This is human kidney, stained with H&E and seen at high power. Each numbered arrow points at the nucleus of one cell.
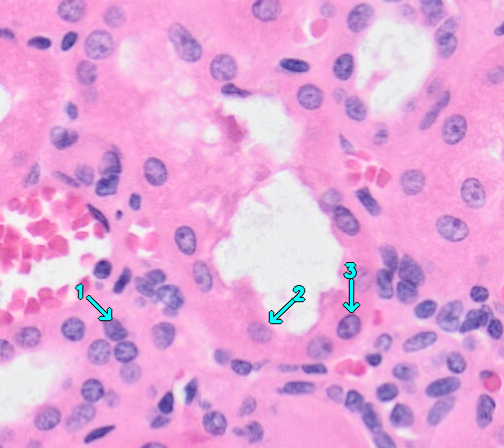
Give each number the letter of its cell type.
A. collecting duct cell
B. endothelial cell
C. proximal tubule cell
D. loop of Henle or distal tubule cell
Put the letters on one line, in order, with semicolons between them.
A; C; C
